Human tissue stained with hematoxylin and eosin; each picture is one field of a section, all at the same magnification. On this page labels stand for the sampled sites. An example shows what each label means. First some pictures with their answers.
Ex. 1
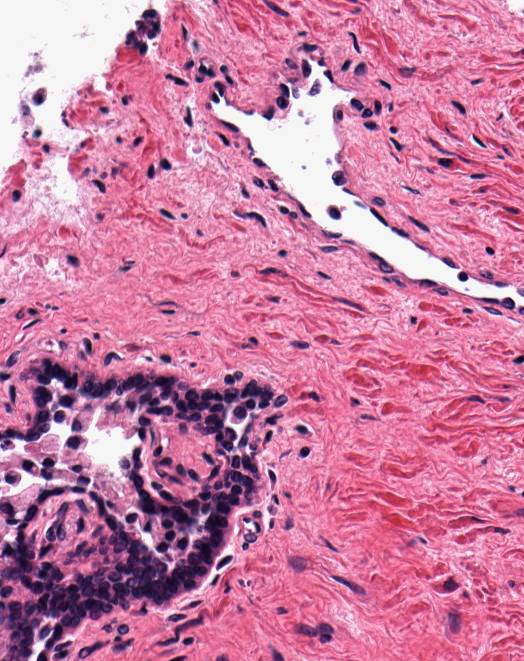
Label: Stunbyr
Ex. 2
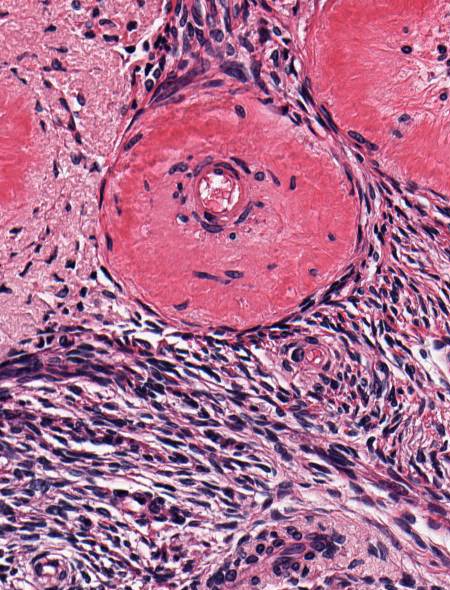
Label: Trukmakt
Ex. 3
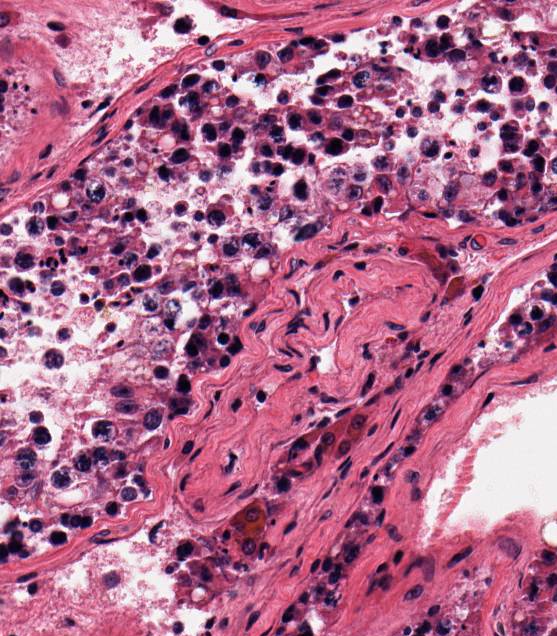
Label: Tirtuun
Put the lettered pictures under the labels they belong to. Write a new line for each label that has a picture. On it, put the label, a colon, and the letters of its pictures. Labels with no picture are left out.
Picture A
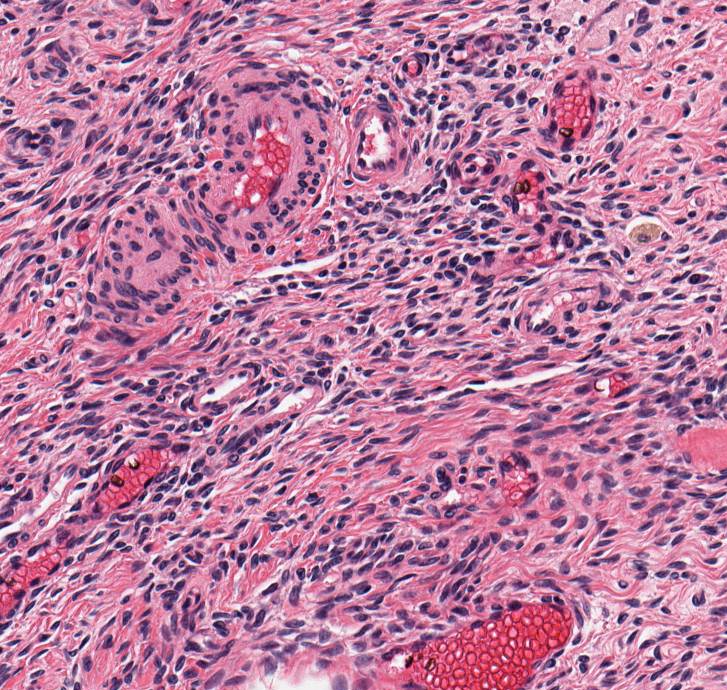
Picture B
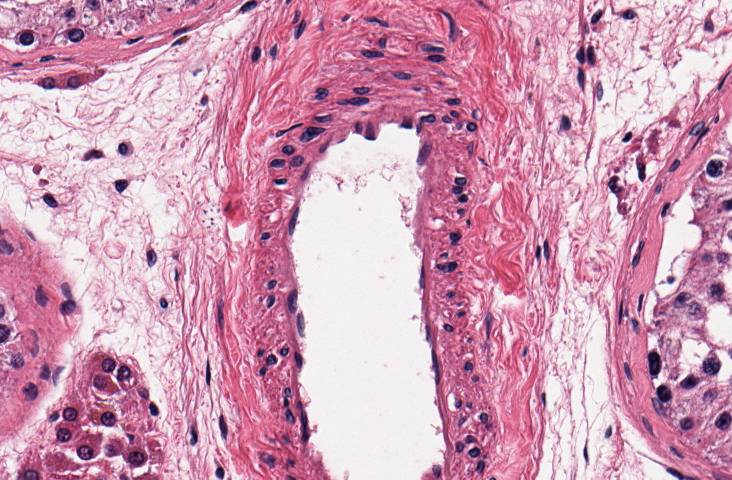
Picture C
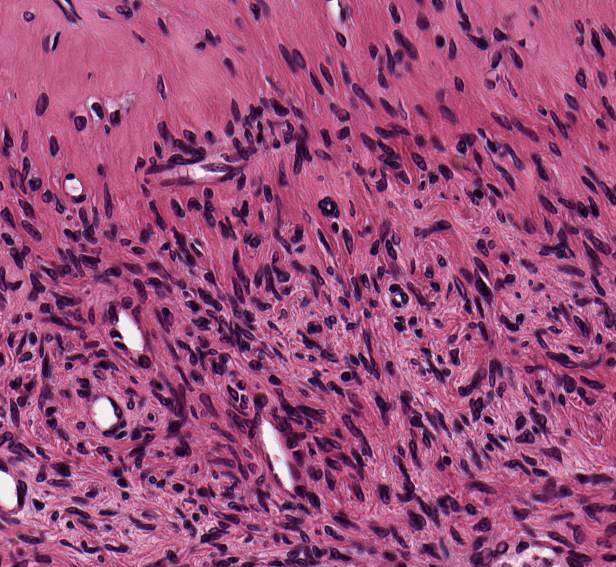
Trukmakt: A, C
Tirtuun: B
